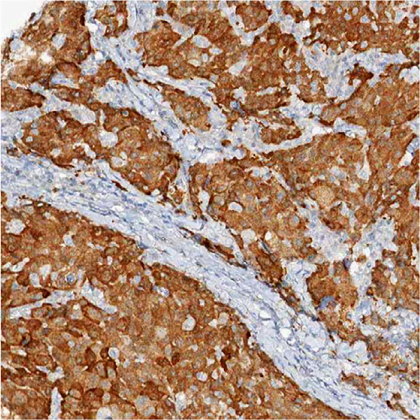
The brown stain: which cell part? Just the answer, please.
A: cytoplasm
